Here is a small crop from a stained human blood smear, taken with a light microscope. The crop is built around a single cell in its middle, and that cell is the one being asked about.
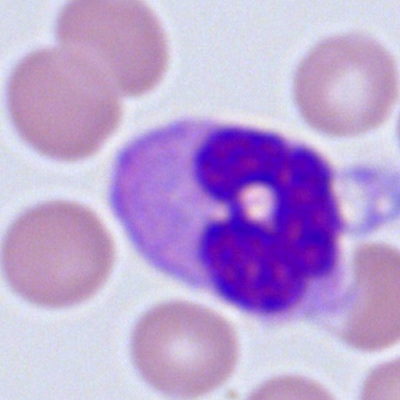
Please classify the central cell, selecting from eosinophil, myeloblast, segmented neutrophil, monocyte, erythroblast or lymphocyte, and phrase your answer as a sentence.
For this crop, the cell in the middle is a monocyte.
